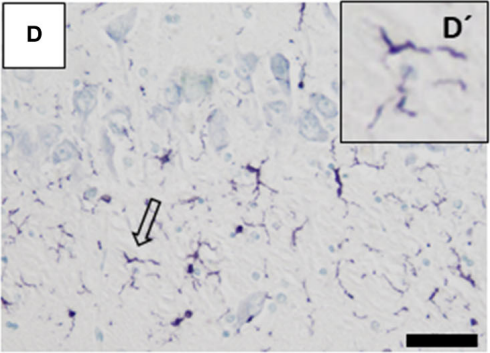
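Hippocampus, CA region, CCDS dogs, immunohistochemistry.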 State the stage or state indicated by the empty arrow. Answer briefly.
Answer: dystrophic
